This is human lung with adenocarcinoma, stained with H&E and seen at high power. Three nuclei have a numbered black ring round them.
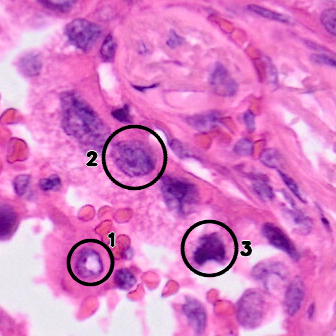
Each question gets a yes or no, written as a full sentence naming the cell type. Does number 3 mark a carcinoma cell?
Yes. The cell carrying number 3 is a carcinoma cell.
